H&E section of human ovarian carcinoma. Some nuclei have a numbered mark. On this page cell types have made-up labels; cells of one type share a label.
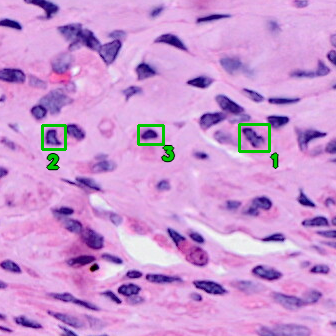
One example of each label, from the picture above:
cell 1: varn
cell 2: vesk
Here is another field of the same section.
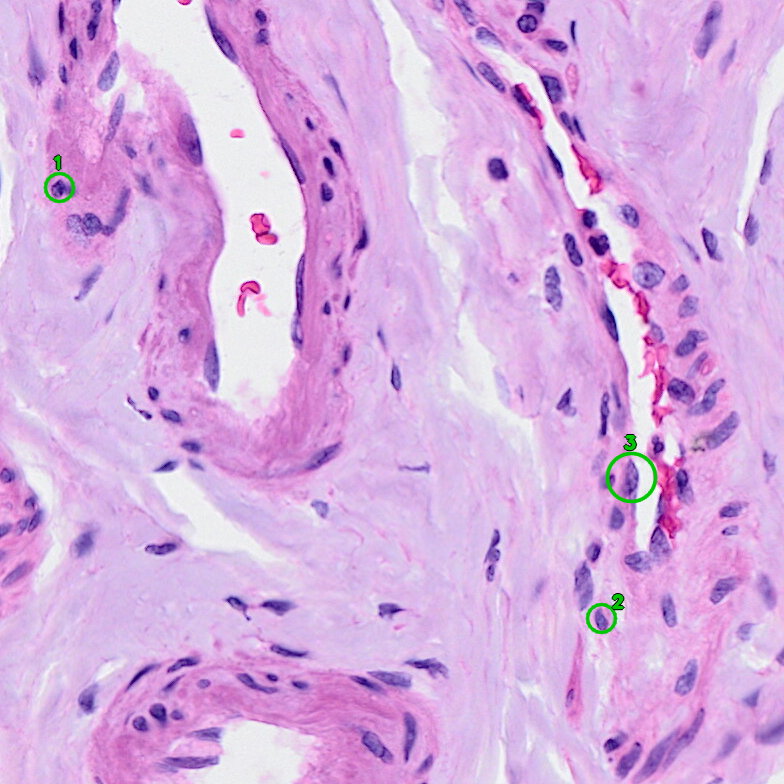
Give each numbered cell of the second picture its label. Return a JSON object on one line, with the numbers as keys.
{"1": "vesk", "2": "vesk", "3": "varn"}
